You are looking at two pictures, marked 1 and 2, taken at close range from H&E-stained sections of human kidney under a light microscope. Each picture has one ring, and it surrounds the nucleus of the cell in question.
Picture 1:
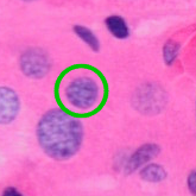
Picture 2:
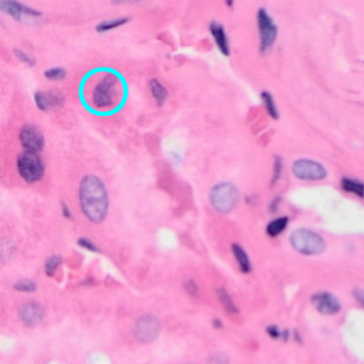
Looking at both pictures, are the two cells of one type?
no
